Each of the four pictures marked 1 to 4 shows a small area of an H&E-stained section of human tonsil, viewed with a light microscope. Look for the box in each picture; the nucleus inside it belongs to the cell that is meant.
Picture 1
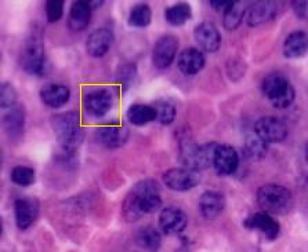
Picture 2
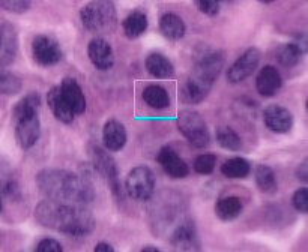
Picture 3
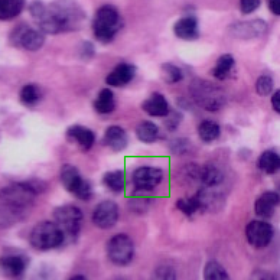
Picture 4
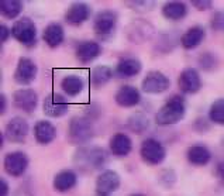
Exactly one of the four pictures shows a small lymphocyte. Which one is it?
4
